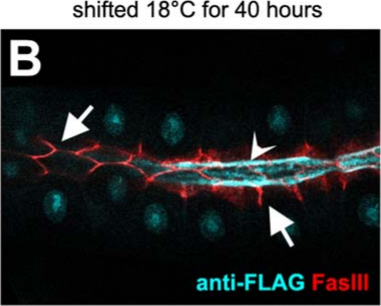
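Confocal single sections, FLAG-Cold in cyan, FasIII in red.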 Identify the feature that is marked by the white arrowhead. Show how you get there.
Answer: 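Salivary gland lumen. The arrowhead points to a bright cyan elongated band running along the middle of the gland. The band lies between two rows of large cells with round nuclei.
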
